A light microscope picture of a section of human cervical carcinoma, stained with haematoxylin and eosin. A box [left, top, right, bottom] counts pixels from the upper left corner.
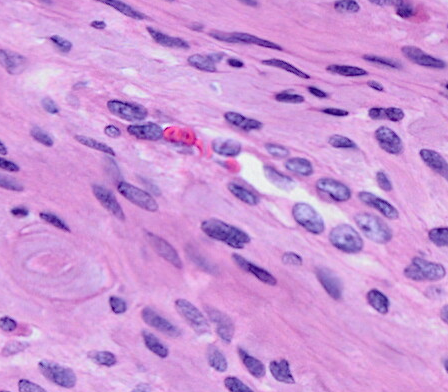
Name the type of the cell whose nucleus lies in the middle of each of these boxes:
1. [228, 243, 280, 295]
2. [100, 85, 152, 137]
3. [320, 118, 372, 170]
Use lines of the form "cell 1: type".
cell 1: fibroblast
cell 2: endothelial cell
cell 3: fibroblast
